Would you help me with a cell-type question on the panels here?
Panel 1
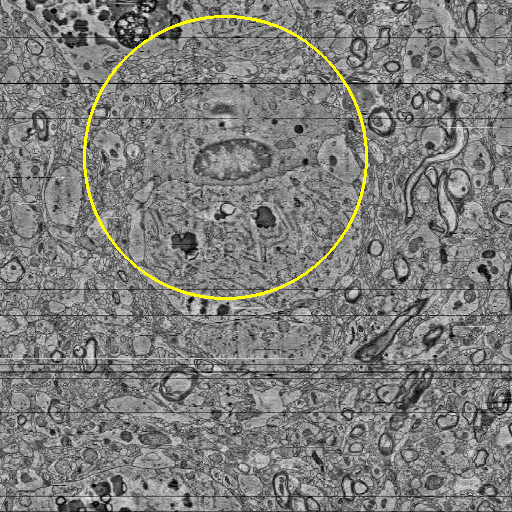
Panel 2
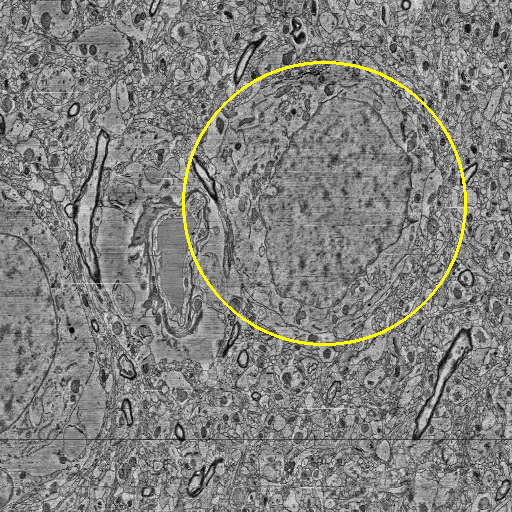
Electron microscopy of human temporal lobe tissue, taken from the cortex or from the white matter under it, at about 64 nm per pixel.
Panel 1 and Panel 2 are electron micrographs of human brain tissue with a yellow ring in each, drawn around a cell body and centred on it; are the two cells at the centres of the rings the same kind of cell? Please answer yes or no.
no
